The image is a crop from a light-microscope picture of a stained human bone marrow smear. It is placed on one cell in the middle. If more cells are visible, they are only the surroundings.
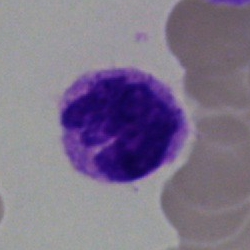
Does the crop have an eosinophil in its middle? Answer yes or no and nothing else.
no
